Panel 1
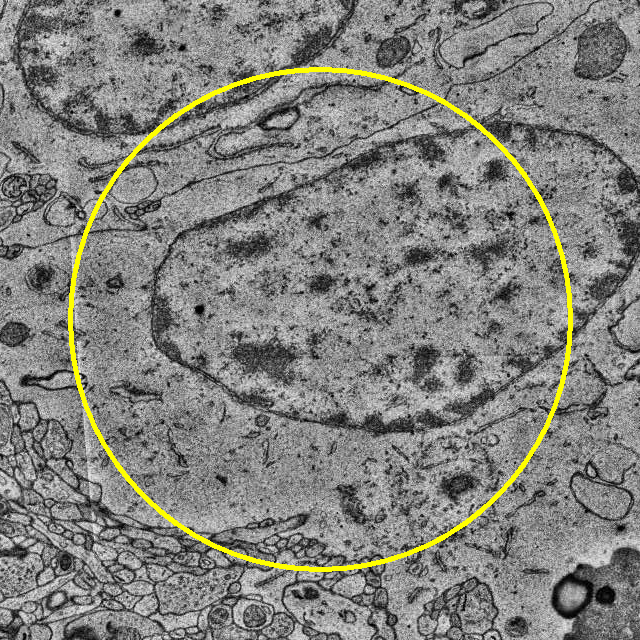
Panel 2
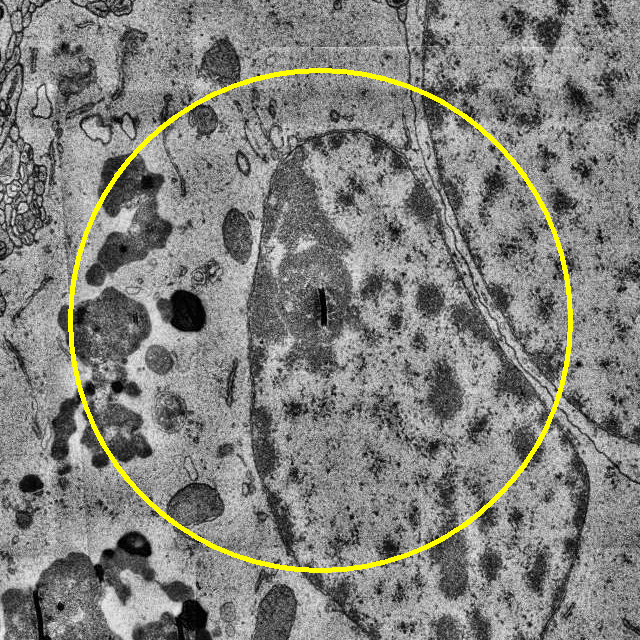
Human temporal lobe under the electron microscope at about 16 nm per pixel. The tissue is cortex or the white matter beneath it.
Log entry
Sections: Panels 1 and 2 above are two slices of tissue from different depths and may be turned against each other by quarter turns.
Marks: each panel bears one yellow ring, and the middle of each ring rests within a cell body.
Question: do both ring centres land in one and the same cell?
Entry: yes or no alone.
yes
